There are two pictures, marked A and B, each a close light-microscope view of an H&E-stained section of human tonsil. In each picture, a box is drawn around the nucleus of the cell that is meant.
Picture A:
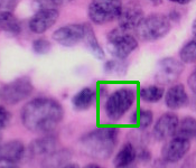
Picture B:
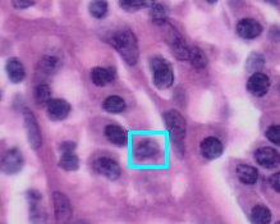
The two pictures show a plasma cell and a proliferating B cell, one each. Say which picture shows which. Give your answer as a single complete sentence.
Picture A shows a proliferating B cell and picture B shows a plasma cell.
